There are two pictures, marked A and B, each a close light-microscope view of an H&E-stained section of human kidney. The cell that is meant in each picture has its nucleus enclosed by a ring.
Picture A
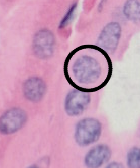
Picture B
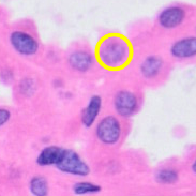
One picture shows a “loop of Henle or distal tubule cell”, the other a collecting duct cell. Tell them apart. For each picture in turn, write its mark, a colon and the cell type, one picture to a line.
A: collecting duct cell
B: loop of Henle or distal tubule cell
